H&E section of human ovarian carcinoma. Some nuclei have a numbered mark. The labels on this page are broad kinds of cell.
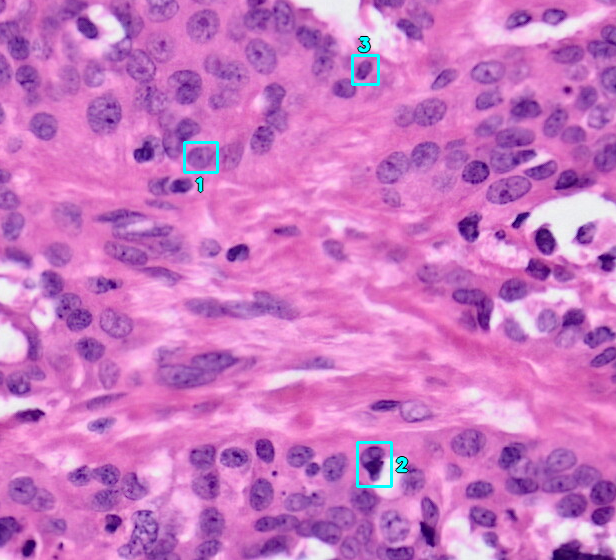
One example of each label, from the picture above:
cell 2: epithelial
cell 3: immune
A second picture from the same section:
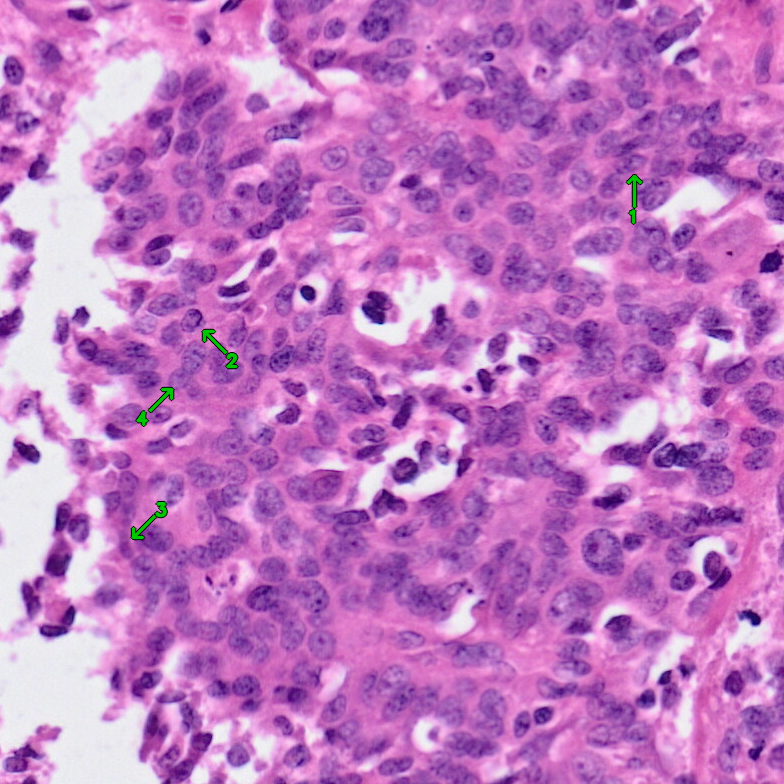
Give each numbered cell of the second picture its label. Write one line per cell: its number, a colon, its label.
1: epithelial
2: immune
3: epithelial
4: epithelial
